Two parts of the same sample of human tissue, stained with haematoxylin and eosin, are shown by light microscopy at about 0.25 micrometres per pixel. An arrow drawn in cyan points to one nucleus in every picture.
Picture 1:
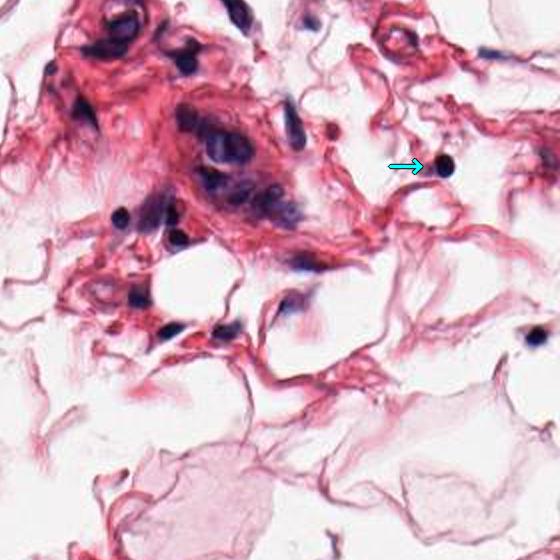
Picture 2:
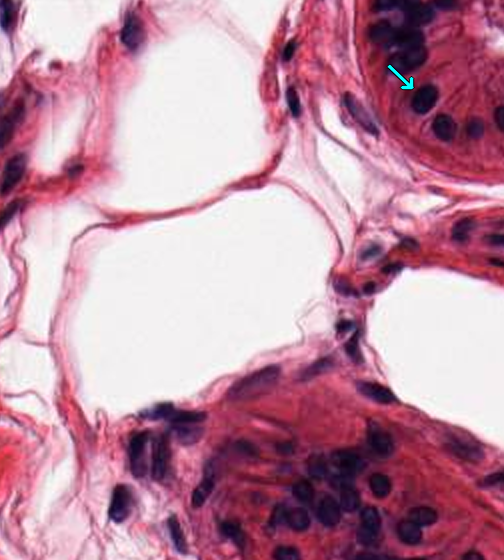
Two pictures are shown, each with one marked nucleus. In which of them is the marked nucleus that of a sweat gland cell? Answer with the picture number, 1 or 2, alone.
2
